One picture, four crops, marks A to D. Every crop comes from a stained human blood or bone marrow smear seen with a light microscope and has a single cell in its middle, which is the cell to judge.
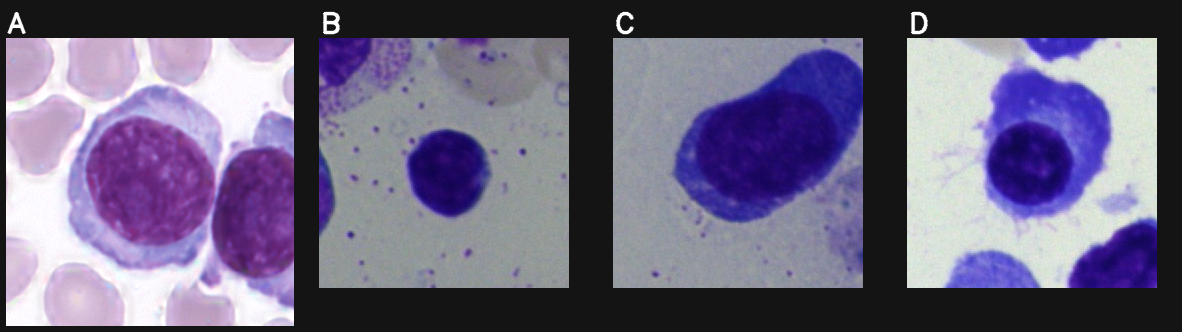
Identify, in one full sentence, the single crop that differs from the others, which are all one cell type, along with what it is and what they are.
The set is made up of plasma cells, with the single exception of crop B, which is a lymphocyte.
